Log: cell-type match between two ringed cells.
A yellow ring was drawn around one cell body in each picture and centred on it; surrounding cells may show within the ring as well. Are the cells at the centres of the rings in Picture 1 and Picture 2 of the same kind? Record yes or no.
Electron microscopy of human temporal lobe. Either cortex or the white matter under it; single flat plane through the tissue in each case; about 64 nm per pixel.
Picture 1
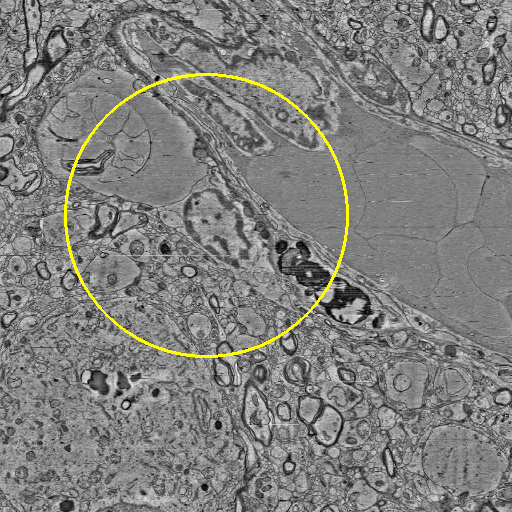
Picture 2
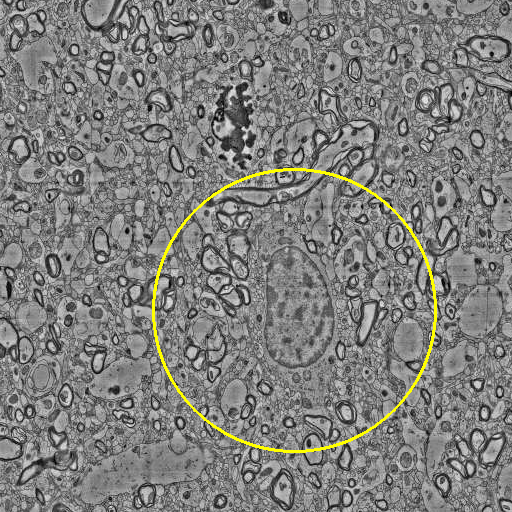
no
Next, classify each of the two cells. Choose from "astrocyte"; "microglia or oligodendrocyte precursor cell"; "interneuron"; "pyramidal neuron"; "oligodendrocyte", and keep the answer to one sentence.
In the first picture it is a microglial cell or oligodendrocyte precursor cell; in the second it is an oligodendrocyte.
